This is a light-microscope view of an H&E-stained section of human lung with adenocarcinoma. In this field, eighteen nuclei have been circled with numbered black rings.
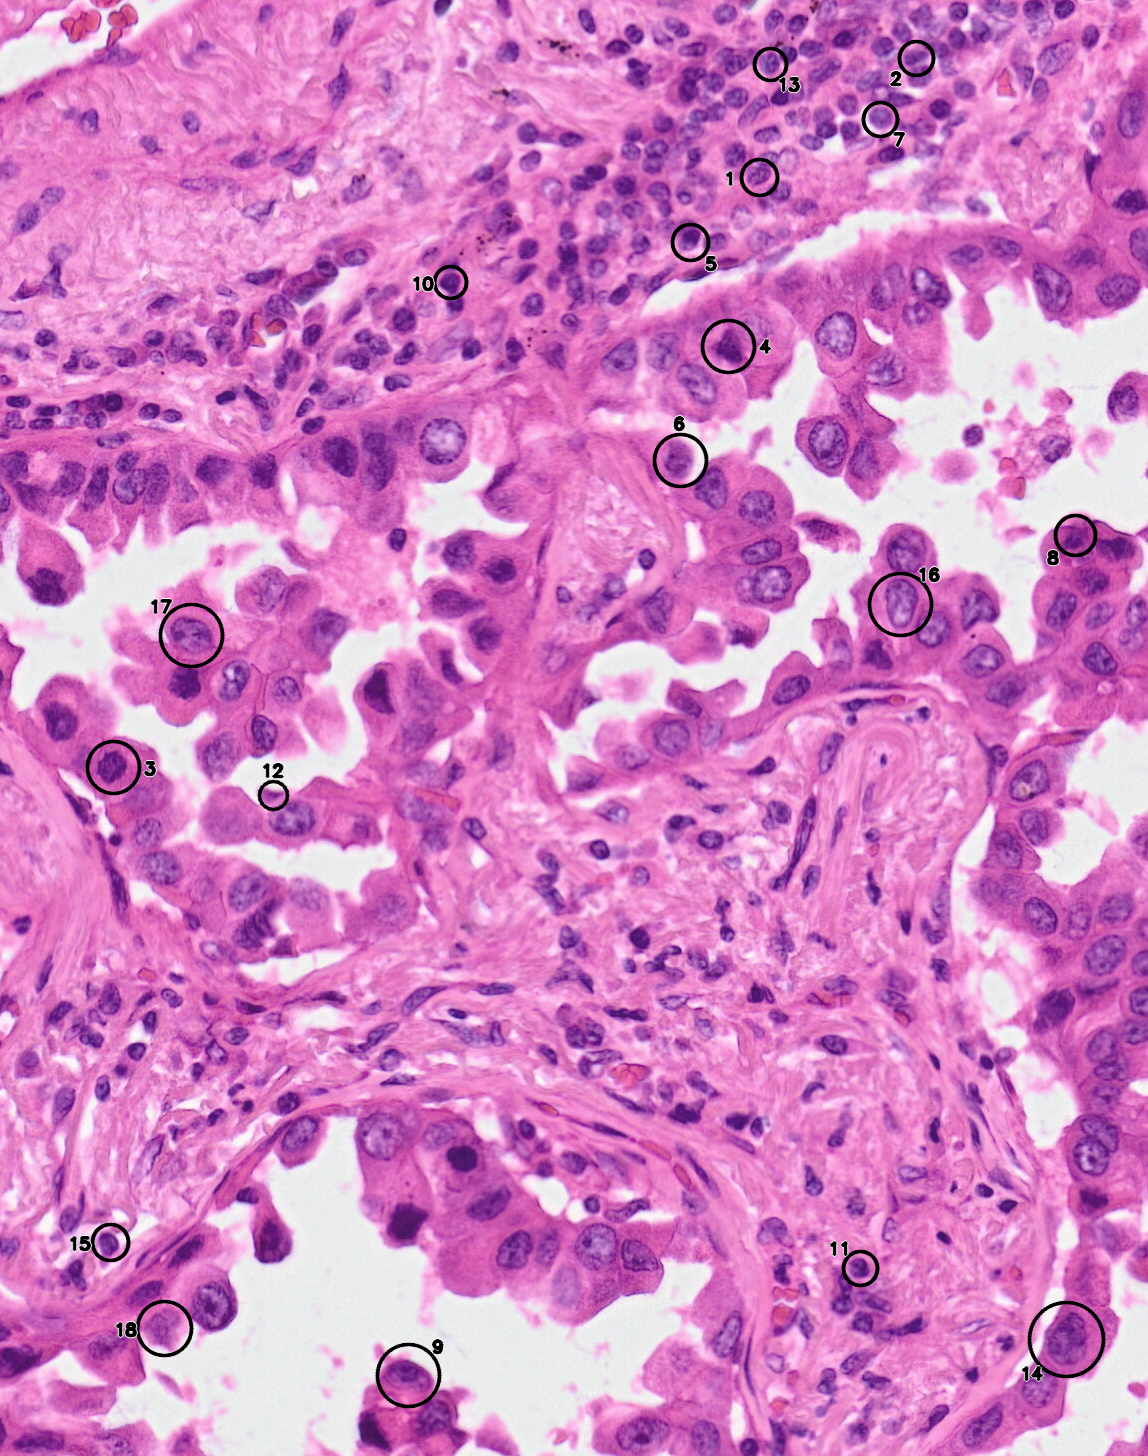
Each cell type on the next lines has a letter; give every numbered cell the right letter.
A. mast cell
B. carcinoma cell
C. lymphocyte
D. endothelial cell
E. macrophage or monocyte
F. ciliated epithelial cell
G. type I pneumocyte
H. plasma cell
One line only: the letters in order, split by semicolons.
C; C; B; B; C; B; C; B; B; C; C; B; C; B; C; B; B; B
